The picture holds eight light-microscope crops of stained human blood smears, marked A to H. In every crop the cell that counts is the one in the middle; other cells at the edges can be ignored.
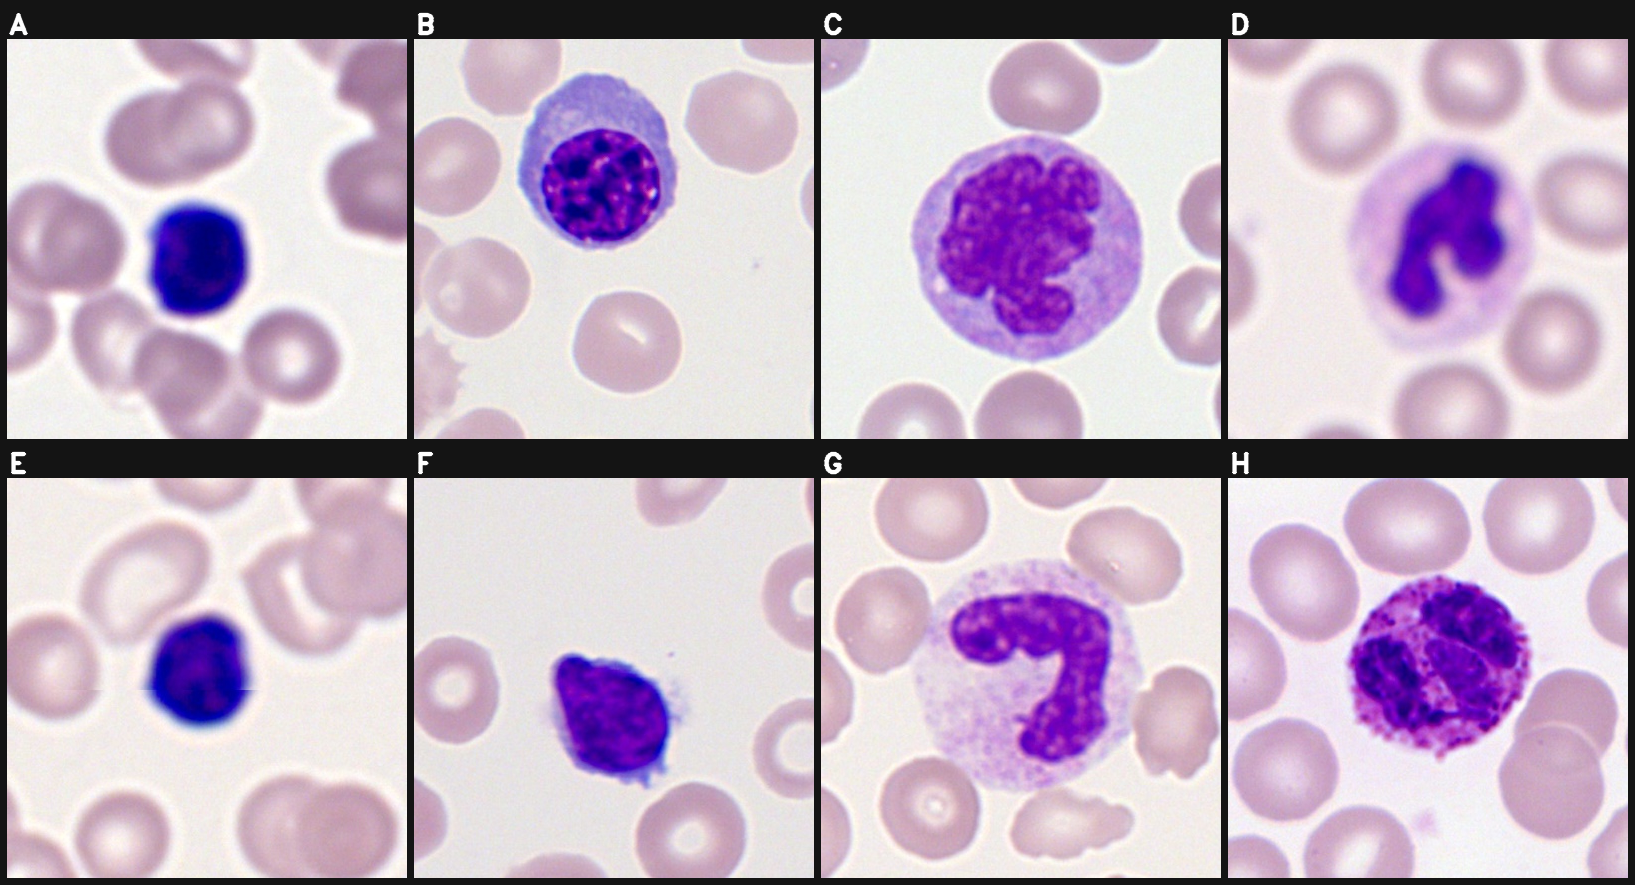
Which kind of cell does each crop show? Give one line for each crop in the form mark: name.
A: lymphocyte
B: erythroblast
C: monocyte
D: segmented neutrophil
E: lymphocyte
F: lymphocyte
G: band neutrophil
H: basophil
